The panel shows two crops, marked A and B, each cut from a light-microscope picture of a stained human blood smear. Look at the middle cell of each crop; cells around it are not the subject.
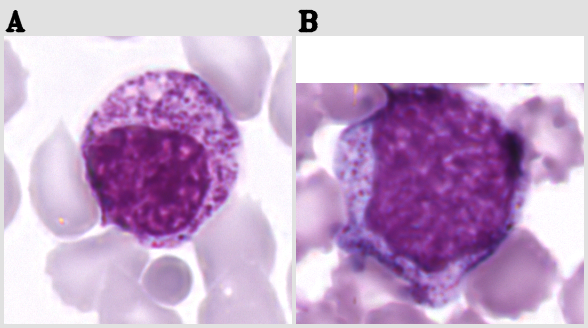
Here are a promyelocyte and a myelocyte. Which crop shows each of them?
A: myelocyte
B: promyelocyte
